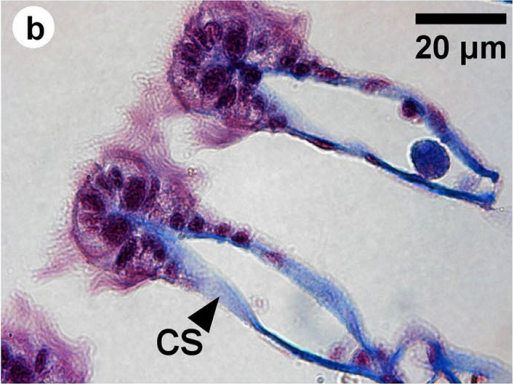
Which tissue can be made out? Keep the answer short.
gill filament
